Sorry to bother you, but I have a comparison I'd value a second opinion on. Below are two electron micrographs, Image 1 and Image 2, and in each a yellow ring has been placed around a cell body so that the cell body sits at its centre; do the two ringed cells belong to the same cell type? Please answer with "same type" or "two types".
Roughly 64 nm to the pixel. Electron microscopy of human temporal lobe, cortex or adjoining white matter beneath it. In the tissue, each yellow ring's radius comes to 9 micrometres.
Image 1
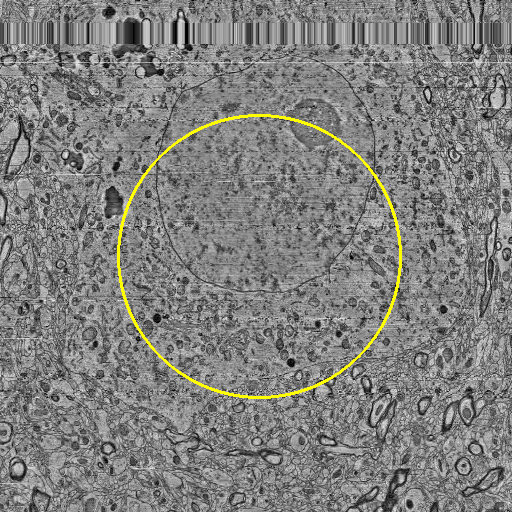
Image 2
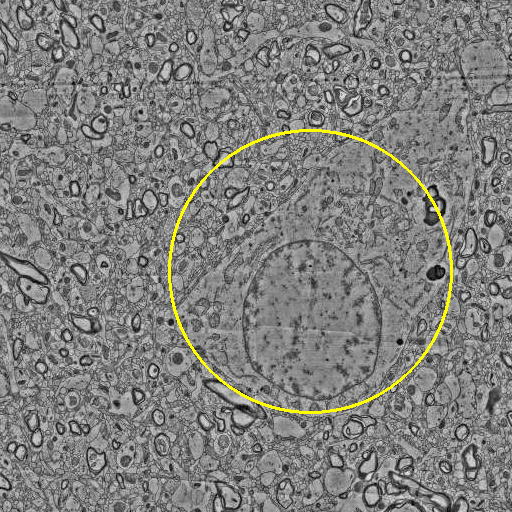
same type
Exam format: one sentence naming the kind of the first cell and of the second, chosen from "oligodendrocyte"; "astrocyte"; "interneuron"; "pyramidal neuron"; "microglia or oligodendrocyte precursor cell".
In each of the two pictures, the ringed cell is a pyramidal neuron.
